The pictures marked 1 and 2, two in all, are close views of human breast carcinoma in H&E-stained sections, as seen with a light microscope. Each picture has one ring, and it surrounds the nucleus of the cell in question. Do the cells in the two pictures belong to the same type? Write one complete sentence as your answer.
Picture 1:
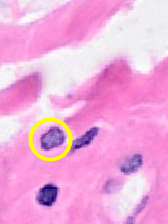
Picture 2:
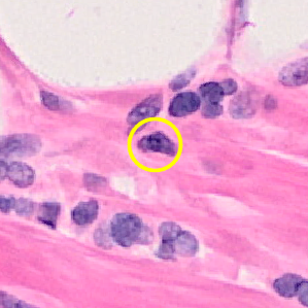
Yes, both are lymphocytes.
